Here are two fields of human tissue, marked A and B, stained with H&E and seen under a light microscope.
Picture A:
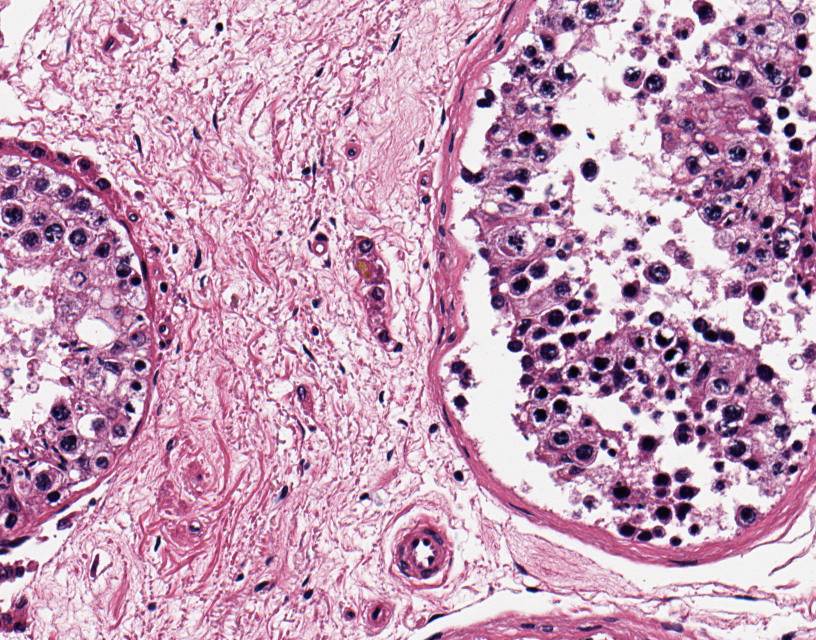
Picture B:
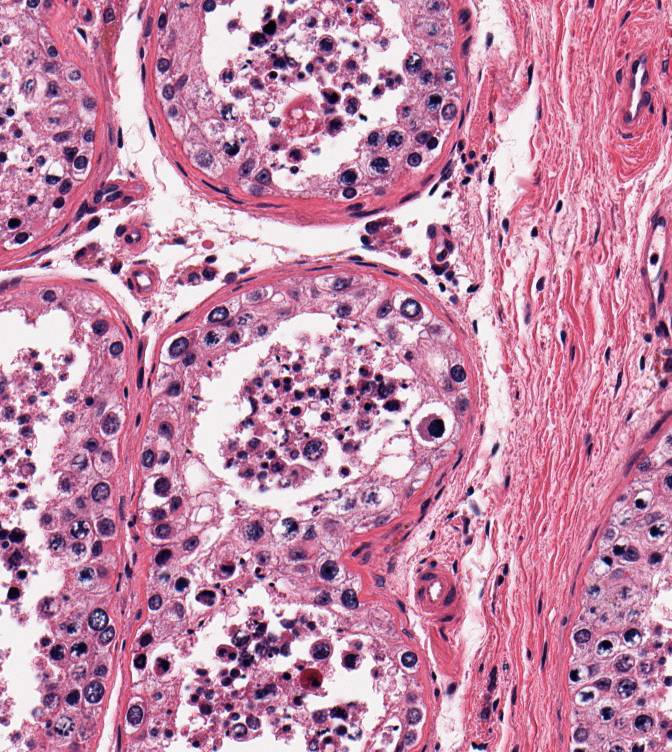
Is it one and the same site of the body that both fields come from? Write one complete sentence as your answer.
Yes, both come from the testis.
